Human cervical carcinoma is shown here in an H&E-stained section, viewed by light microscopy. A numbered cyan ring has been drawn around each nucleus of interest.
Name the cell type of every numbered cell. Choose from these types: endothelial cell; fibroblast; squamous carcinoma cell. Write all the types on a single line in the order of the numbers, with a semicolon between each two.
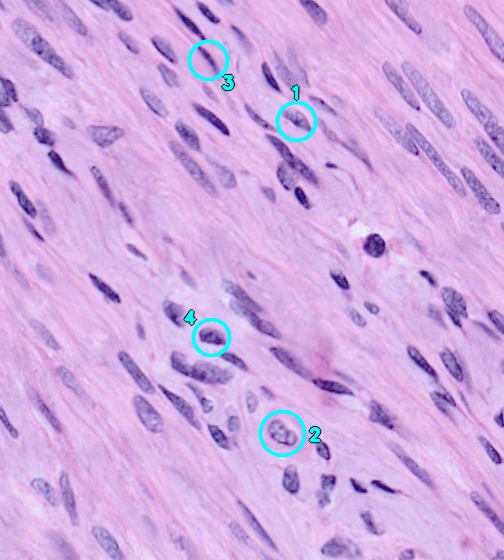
fibroblast; endothelial cell; fibroblast; fibroblast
